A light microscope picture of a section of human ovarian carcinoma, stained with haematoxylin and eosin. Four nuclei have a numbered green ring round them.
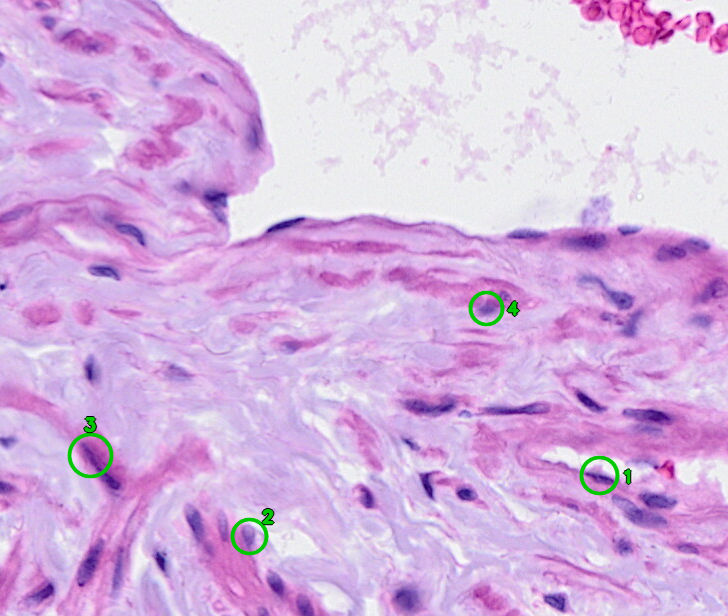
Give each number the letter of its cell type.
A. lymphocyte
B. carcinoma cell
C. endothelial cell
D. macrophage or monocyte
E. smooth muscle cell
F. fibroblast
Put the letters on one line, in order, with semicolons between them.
C; E; E; E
